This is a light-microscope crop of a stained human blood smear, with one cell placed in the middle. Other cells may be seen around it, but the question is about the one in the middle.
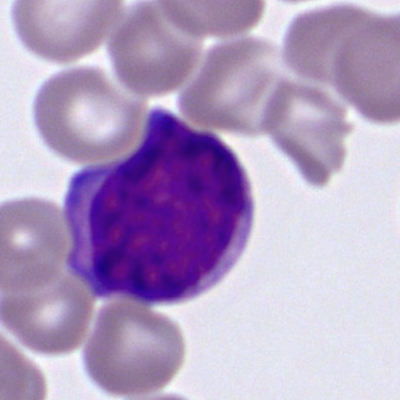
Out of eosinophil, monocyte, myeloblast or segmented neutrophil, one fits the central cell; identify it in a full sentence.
Located at the centre of the crop is a myeloblast.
